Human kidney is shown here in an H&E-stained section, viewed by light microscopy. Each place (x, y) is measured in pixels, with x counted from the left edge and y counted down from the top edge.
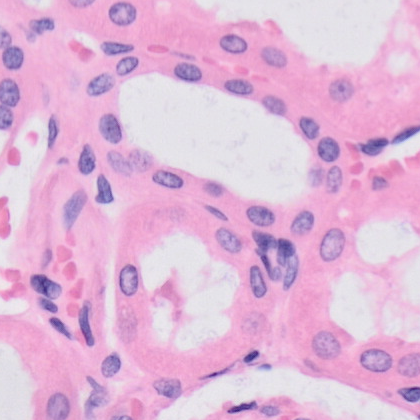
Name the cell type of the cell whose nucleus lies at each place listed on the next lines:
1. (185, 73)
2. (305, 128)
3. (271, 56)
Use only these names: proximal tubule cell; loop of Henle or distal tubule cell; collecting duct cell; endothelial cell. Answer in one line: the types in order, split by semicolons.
collecting duct cell; collecting duct cell; proximal tubule cell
